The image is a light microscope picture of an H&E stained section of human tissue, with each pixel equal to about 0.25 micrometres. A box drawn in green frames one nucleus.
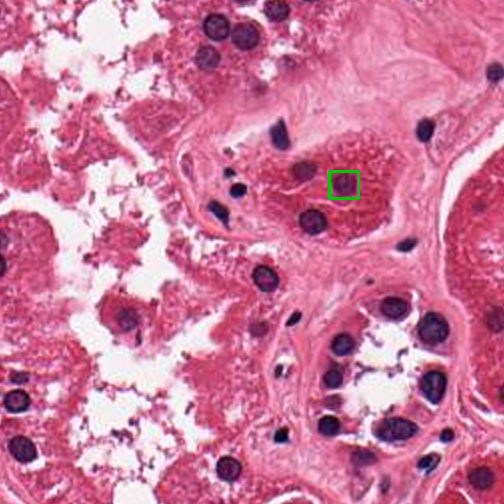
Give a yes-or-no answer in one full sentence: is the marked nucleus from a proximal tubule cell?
Yes, the marked nucleus is recognised as belonging to a proximal tubule cell.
